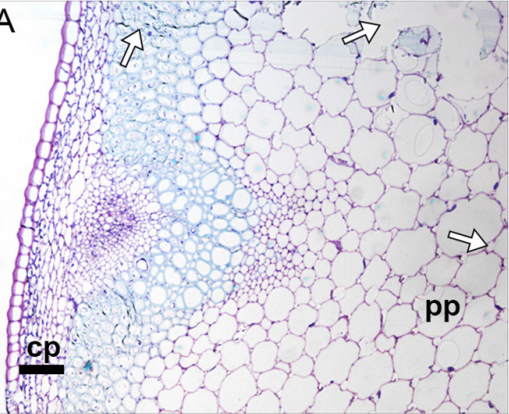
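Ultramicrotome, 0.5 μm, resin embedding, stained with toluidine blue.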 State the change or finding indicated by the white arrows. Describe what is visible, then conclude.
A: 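Near the arrows cell walls are torn, folded or detached. Some cells by the arrows have lost their regular polygonal outline.
Tissue integrity has been affected.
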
